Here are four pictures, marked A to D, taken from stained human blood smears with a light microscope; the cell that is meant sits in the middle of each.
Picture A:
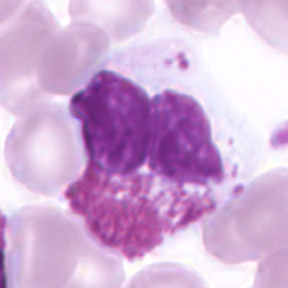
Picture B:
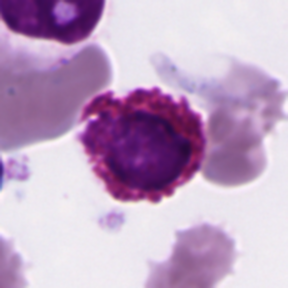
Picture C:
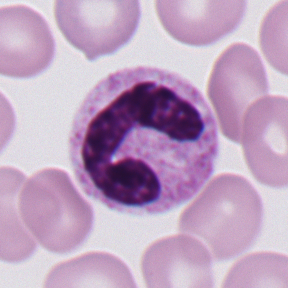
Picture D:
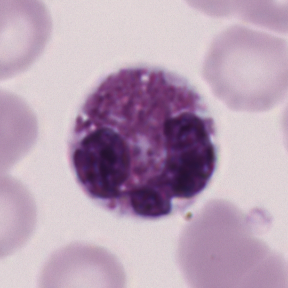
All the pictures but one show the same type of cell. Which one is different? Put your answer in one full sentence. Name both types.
The others show eosinophils, but picture C shows a segmented neutrophil.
